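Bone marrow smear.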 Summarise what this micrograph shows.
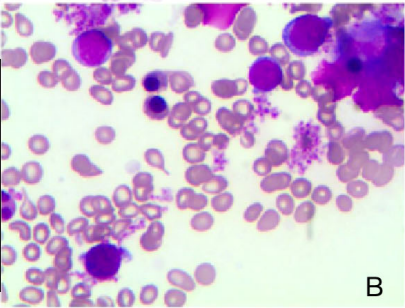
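Scattered among many red cells lie a few nucleated cells with large round purple nuclei and scant bluish cytoplasm, together with small cells whose nuclei are dark and dense. At the upper right sits a larger cell with abundant purple cytoplasm, and clumps of small purple granules lie nearby. Several red cells are elongated or irregular in outline rather than round.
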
